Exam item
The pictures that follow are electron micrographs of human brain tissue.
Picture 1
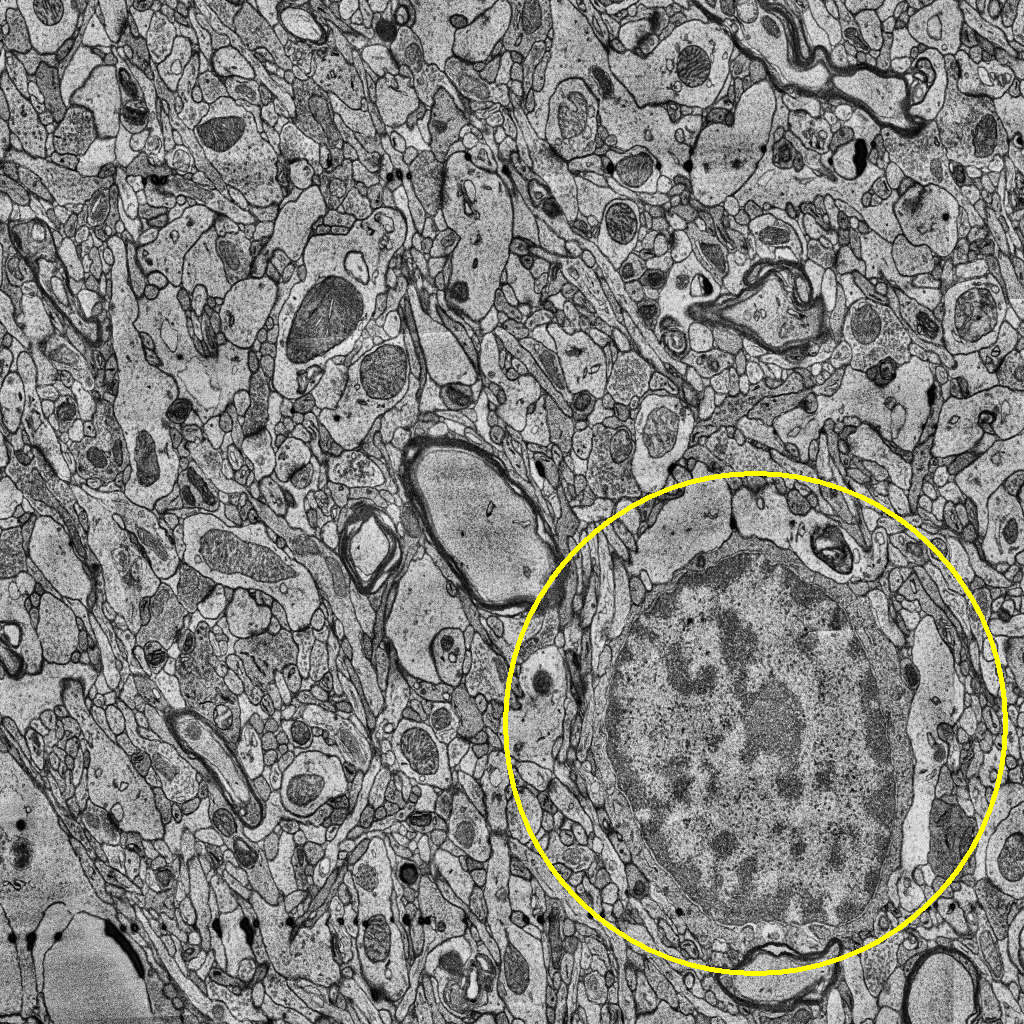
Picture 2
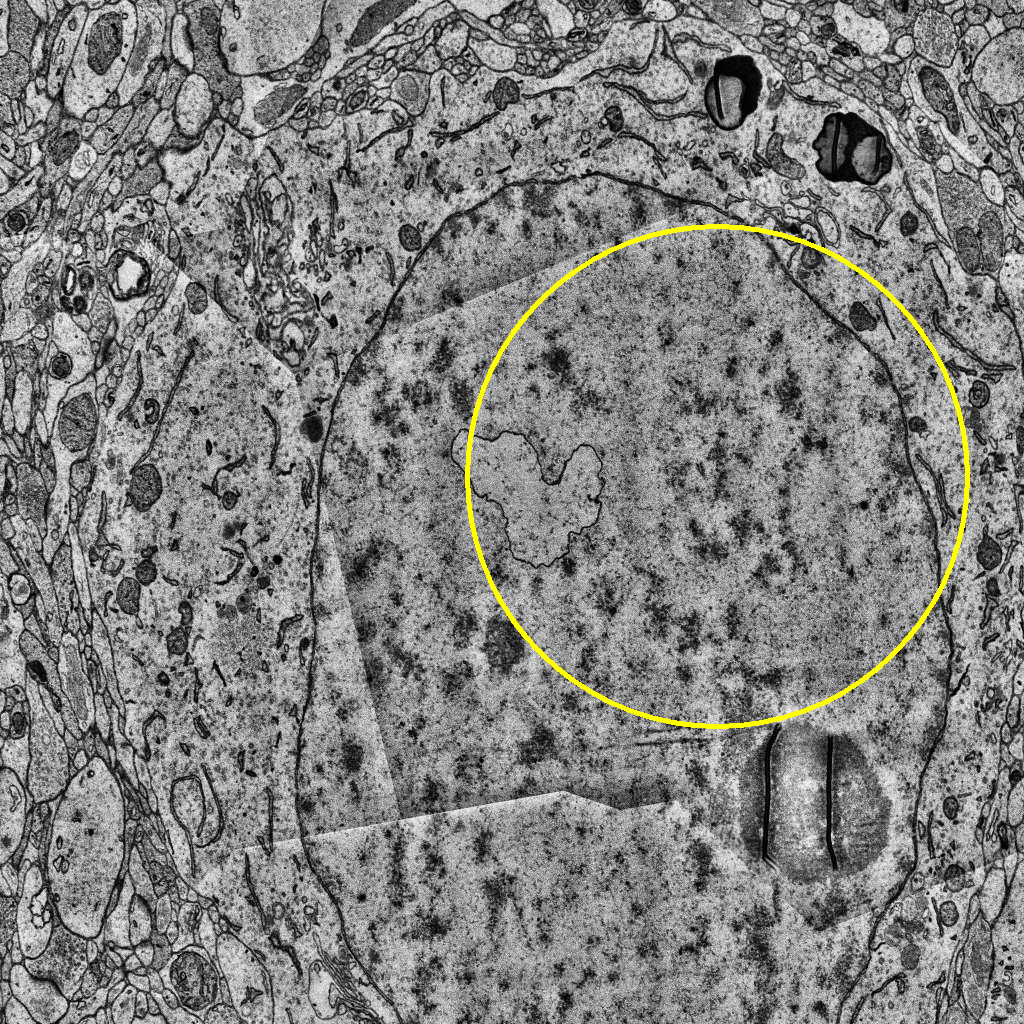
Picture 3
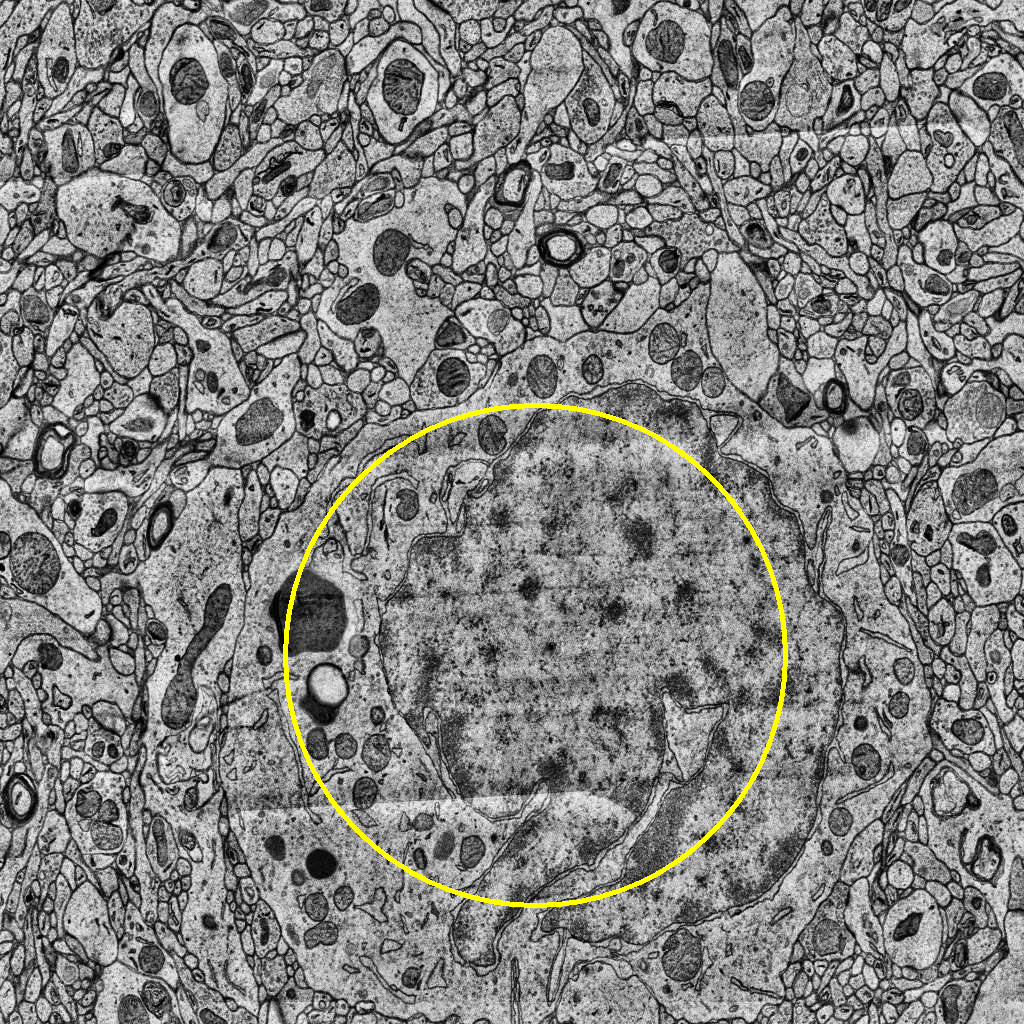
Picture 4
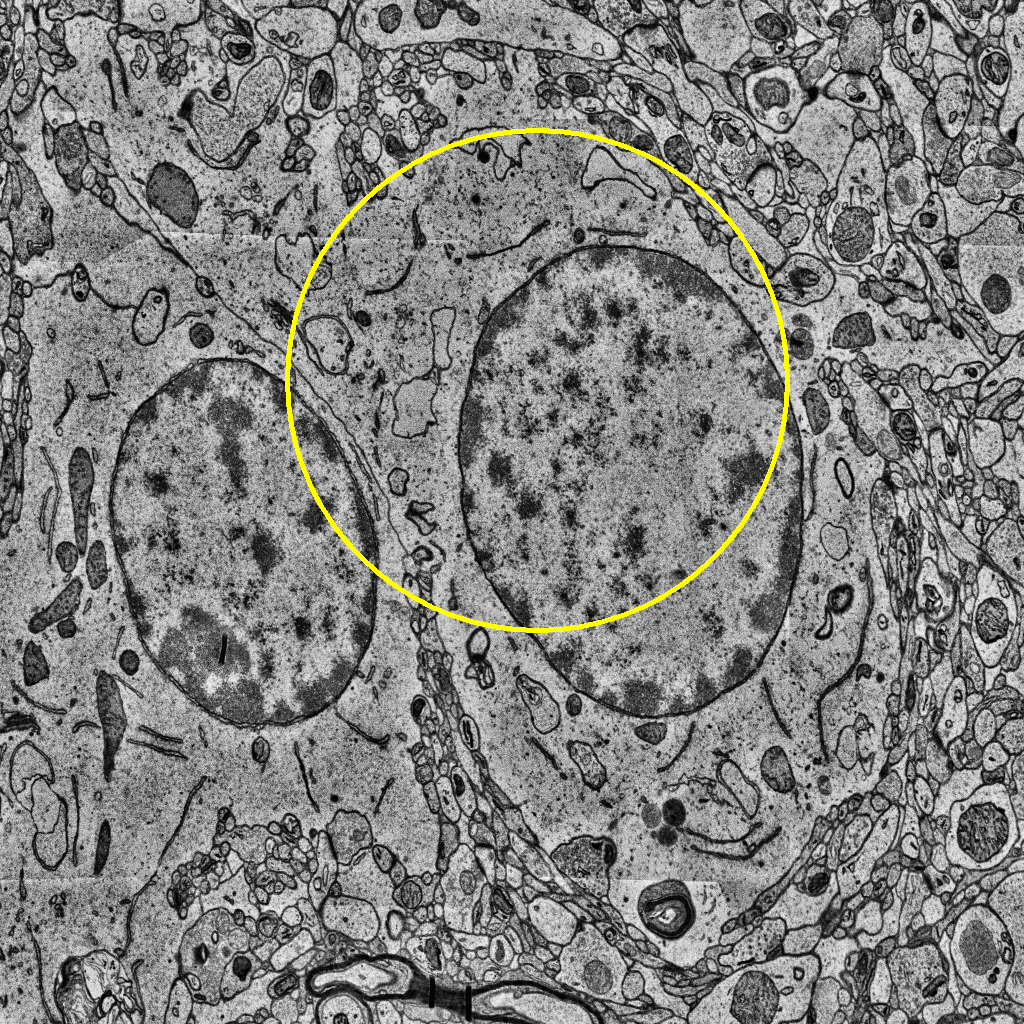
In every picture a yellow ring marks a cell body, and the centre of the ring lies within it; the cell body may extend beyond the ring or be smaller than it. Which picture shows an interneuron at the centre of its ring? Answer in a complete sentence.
The cell at the centre of the ring in Picture 3 is the one asked for.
